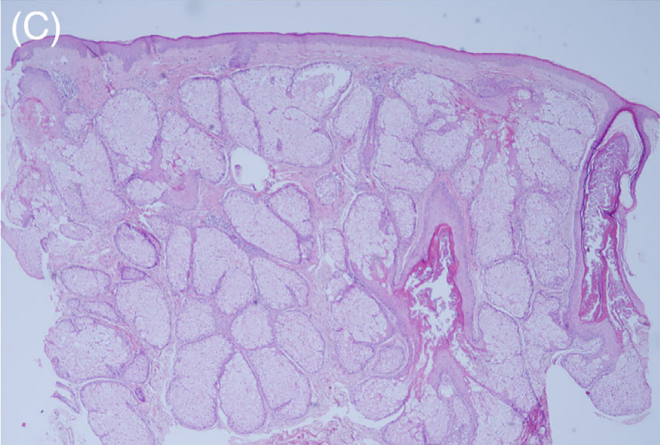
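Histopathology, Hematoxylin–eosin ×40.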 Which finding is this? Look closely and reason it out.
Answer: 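Numerous large, pale, rounded lobules fill most of the dermis beneath a thin epidermis. The lobules lie crowded together, separated only by thin pink fibrous septa. A dilated duct-like structure opens toward the surface among the lobules. The answer: expanded lobules of sebaceous glands.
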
